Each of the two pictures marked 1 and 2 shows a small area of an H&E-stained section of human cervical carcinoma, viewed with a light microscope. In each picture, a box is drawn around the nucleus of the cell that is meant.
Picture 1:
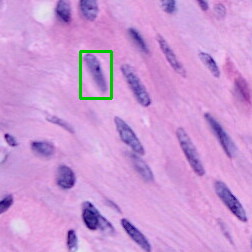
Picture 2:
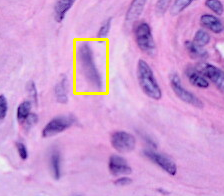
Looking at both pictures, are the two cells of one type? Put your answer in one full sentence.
Yes, both are fibroblasts.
